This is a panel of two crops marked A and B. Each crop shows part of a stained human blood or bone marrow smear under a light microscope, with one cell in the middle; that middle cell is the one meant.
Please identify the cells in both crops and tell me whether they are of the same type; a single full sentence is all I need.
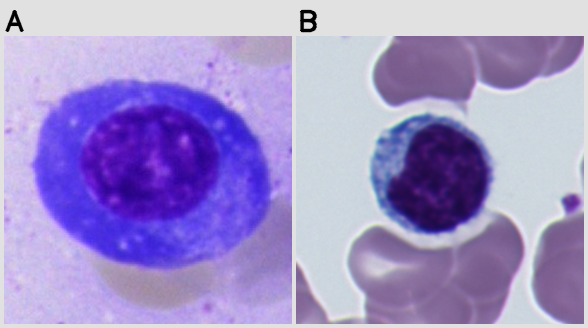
No, crop A captures a plasma cell; meanwhile crop B captures a lymphocyte.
